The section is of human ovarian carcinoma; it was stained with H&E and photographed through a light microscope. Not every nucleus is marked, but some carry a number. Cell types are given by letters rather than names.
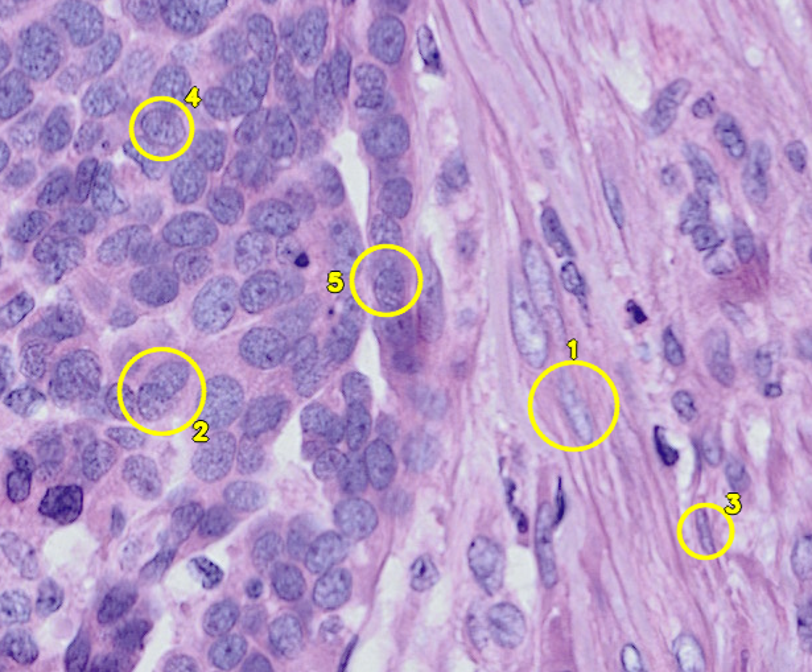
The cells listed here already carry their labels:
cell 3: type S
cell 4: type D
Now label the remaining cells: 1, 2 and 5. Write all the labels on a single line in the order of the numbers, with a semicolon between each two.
type S; type D; type D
